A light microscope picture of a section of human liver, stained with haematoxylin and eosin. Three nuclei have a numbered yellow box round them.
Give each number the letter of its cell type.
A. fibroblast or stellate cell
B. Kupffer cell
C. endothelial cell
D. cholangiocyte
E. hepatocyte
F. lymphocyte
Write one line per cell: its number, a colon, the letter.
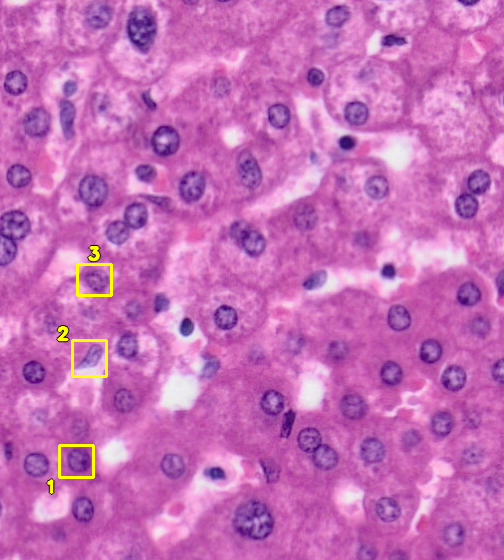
1: E
2: C
3: E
